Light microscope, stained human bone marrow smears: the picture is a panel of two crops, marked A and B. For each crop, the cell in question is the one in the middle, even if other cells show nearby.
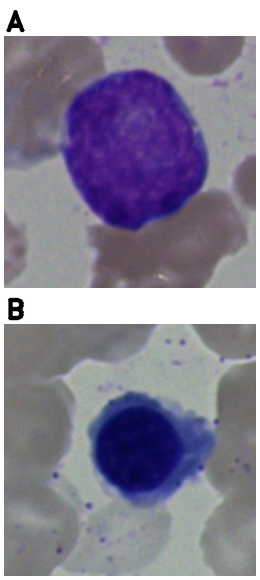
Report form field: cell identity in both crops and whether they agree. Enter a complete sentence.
No, crop A captures a blast, and crop B captures an erythroblast.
